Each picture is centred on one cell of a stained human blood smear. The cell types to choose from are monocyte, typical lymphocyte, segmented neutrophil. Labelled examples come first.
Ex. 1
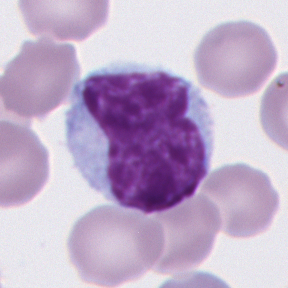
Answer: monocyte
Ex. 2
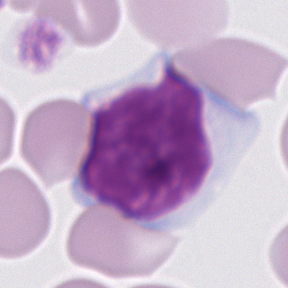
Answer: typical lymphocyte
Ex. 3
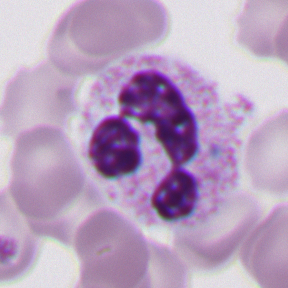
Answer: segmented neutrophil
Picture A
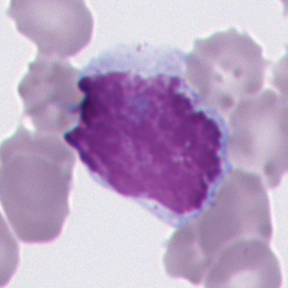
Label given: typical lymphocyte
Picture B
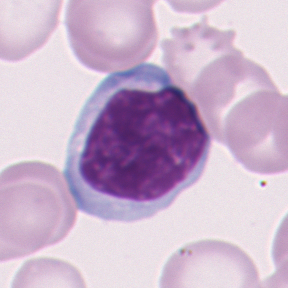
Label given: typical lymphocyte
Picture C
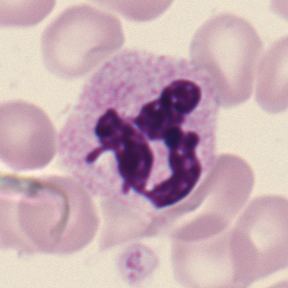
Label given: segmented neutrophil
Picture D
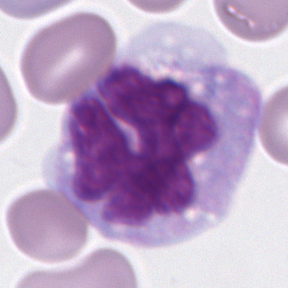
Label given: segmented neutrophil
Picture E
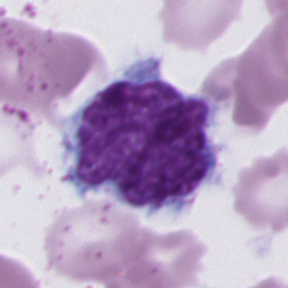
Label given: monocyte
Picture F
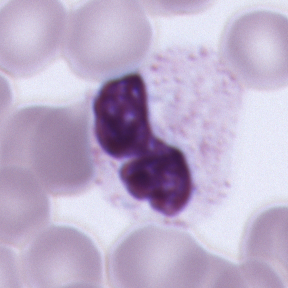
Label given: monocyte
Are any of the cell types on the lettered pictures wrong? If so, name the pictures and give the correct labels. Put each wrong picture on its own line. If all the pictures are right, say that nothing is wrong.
D: not segmented neutrophil but monocyte
F: not monocyte but segmented neutrophil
